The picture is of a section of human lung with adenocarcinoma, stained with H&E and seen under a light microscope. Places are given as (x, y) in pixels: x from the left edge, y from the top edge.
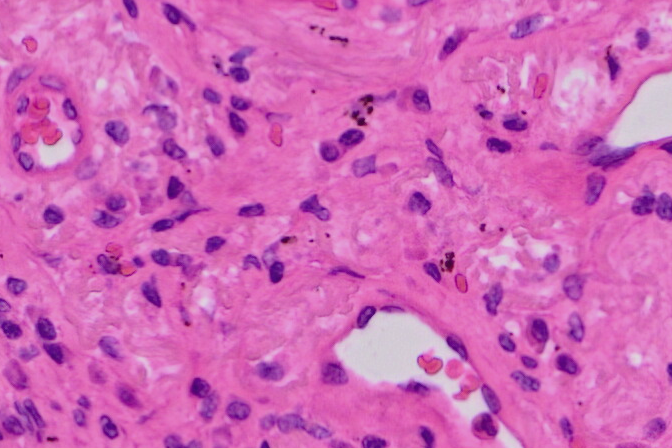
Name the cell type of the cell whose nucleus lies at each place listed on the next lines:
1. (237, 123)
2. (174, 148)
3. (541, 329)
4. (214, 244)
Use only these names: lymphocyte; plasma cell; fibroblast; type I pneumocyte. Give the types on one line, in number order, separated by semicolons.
plasma cell; plasma cell; plasma cell; lymphocyte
